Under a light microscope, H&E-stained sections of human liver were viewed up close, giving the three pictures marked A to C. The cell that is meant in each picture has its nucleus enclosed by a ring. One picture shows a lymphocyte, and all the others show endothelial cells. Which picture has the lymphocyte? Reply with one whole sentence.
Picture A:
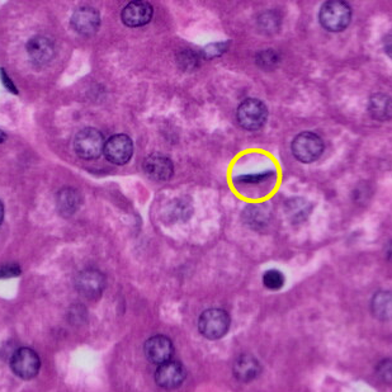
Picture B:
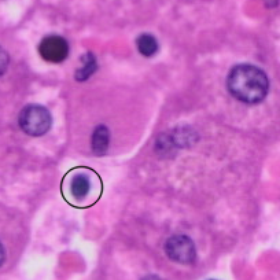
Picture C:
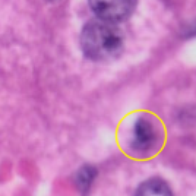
The cell in picture B is the lymphocyte.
